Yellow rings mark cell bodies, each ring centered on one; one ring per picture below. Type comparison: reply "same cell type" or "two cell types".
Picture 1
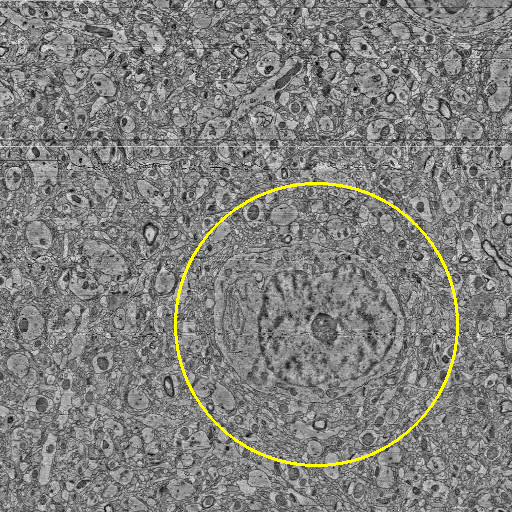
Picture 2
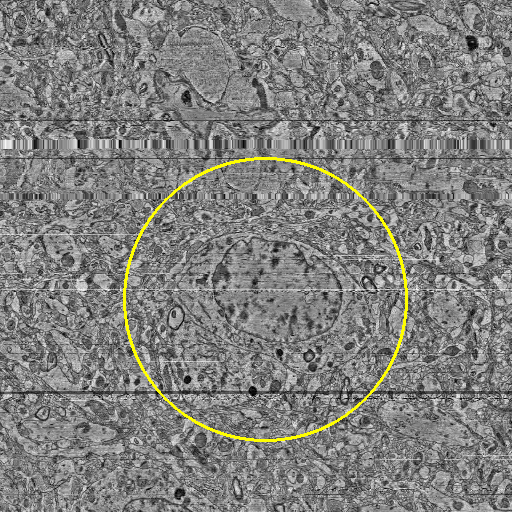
two cell types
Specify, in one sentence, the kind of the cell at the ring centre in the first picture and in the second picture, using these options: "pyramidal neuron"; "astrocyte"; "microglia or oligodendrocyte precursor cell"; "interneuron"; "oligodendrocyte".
So the first is an interneuron, the second a pyramidal neuron.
